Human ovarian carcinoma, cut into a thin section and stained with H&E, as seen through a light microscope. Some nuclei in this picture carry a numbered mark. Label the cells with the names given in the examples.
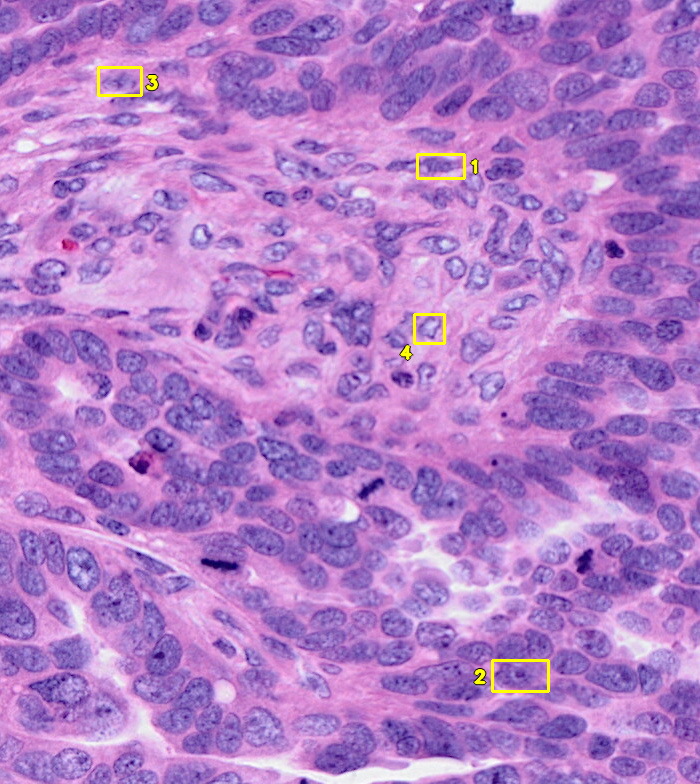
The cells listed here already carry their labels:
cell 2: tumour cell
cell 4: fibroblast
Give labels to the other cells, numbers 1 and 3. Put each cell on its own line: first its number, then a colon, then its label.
1: fibroblast
3: fibroblast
